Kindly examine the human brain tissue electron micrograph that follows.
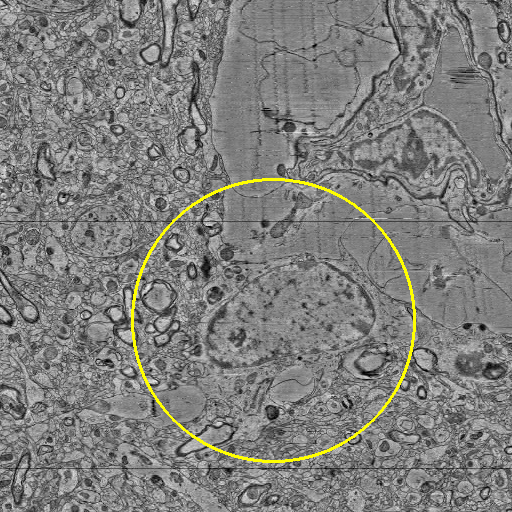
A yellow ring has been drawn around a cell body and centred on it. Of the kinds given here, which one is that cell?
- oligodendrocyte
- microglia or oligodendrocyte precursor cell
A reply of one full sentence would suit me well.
The micrograph's ringed cell, the one at the ring's centre, is a microglial cell or oligodendrocyte precursor cell.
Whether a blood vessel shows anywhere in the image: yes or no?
Yes, there is one.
